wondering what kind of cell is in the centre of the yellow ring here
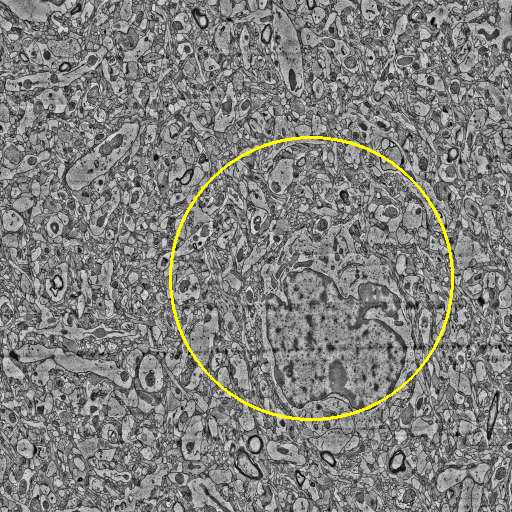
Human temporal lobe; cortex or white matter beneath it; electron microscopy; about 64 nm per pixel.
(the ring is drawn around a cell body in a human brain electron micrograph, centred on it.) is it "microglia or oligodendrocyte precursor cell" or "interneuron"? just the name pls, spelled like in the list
microglia or oligodendrocyte precursor cell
